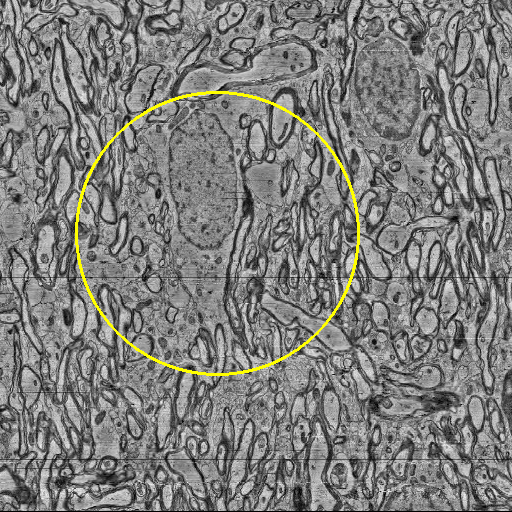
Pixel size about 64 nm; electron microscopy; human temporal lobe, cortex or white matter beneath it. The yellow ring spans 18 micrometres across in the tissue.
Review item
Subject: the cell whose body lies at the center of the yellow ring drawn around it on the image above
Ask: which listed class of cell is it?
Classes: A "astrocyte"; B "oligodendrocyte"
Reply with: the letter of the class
A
